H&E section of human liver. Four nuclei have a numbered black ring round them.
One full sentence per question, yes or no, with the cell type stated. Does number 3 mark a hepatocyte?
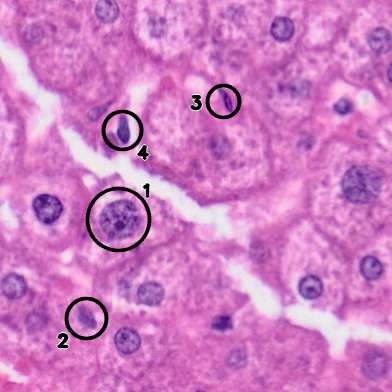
No, number 3 is assigned to an endothelial cell, not to a hepatocyte.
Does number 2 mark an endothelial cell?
Yes, the numbered nucleus 2 is that of an endothelial cell.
